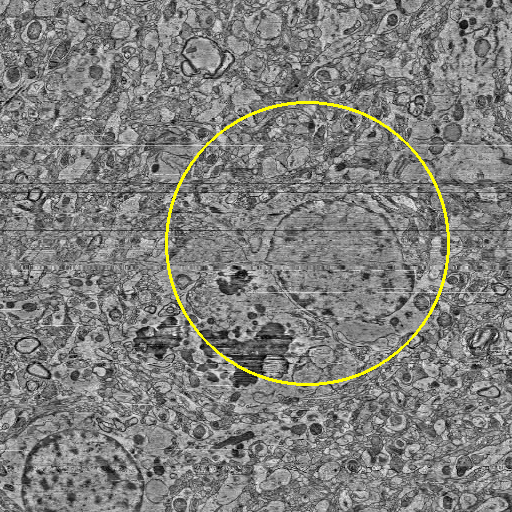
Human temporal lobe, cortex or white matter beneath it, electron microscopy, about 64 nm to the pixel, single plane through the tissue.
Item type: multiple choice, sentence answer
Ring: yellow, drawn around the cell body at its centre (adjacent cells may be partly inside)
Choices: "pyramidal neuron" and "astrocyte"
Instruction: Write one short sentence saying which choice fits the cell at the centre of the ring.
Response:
This ring is drawn around an astrocyte.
